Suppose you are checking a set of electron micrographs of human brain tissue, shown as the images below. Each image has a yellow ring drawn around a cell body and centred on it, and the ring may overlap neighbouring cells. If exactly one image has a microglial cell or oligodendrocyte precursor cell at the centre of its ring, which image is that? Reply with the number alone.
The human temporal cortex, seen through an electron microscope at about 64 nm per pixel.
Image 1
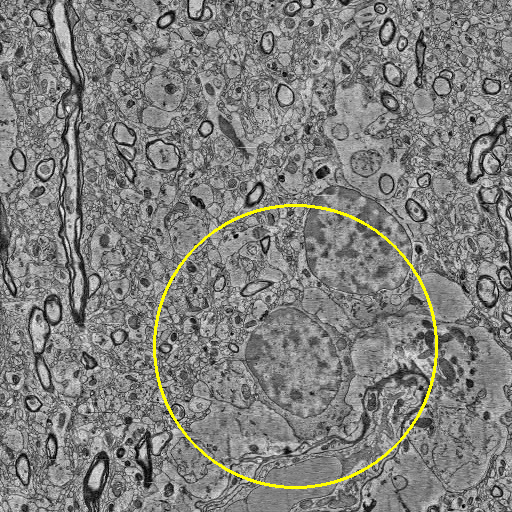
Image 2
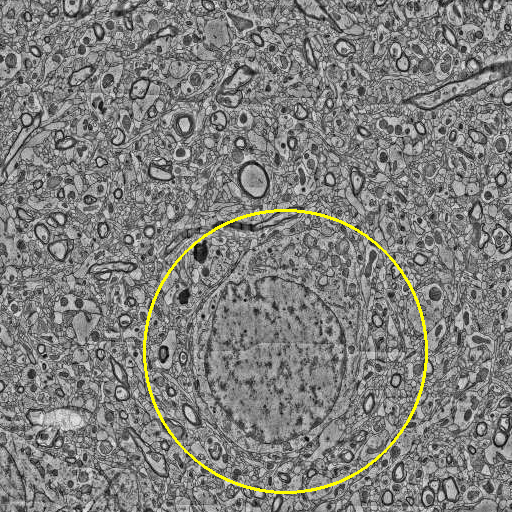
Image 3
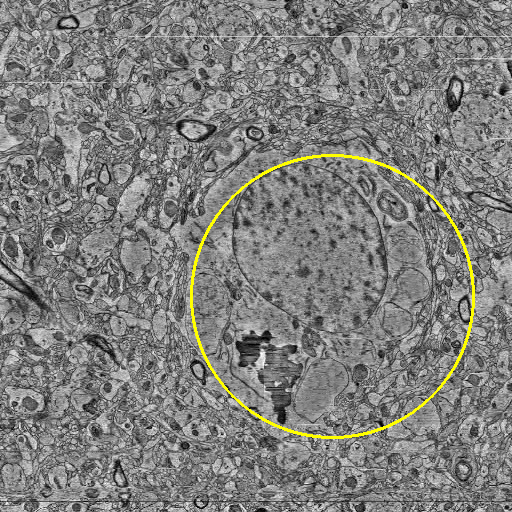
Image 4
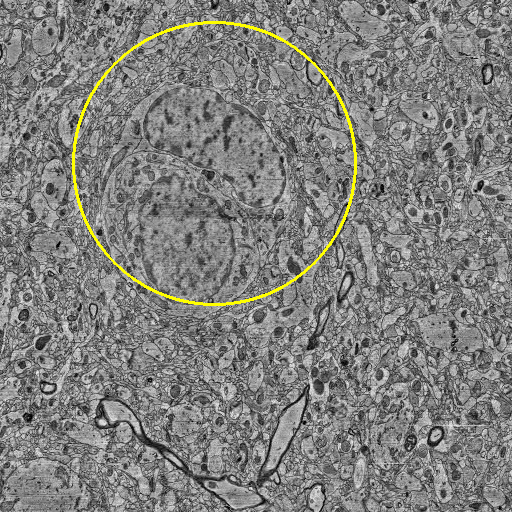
4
